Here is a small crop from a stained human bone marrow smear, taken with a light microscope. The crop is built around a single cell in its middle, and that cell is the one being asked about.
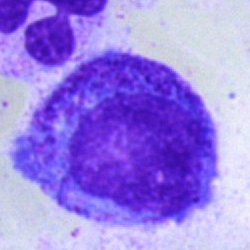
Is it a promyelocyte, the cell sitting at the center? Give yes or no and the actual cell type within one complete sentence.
Yes, as for the central cell, it is a promyelocyte.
